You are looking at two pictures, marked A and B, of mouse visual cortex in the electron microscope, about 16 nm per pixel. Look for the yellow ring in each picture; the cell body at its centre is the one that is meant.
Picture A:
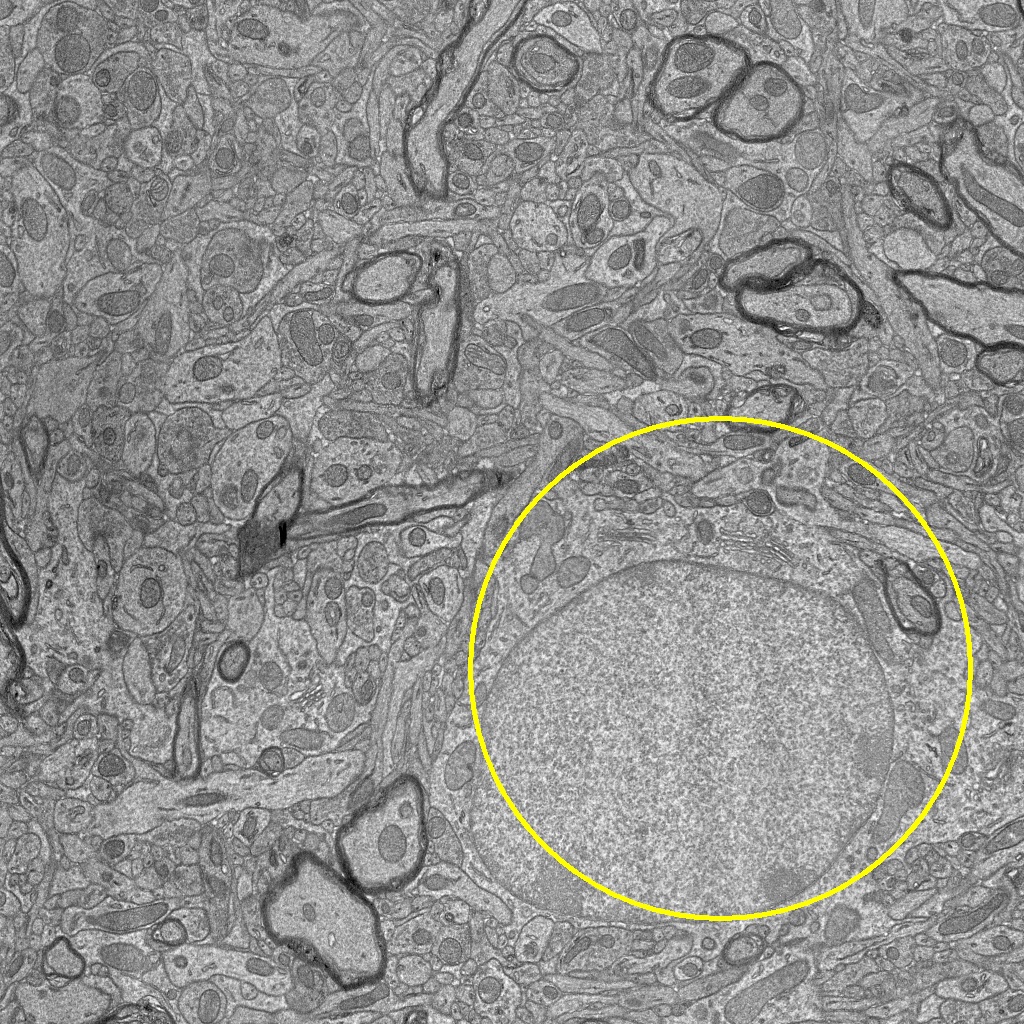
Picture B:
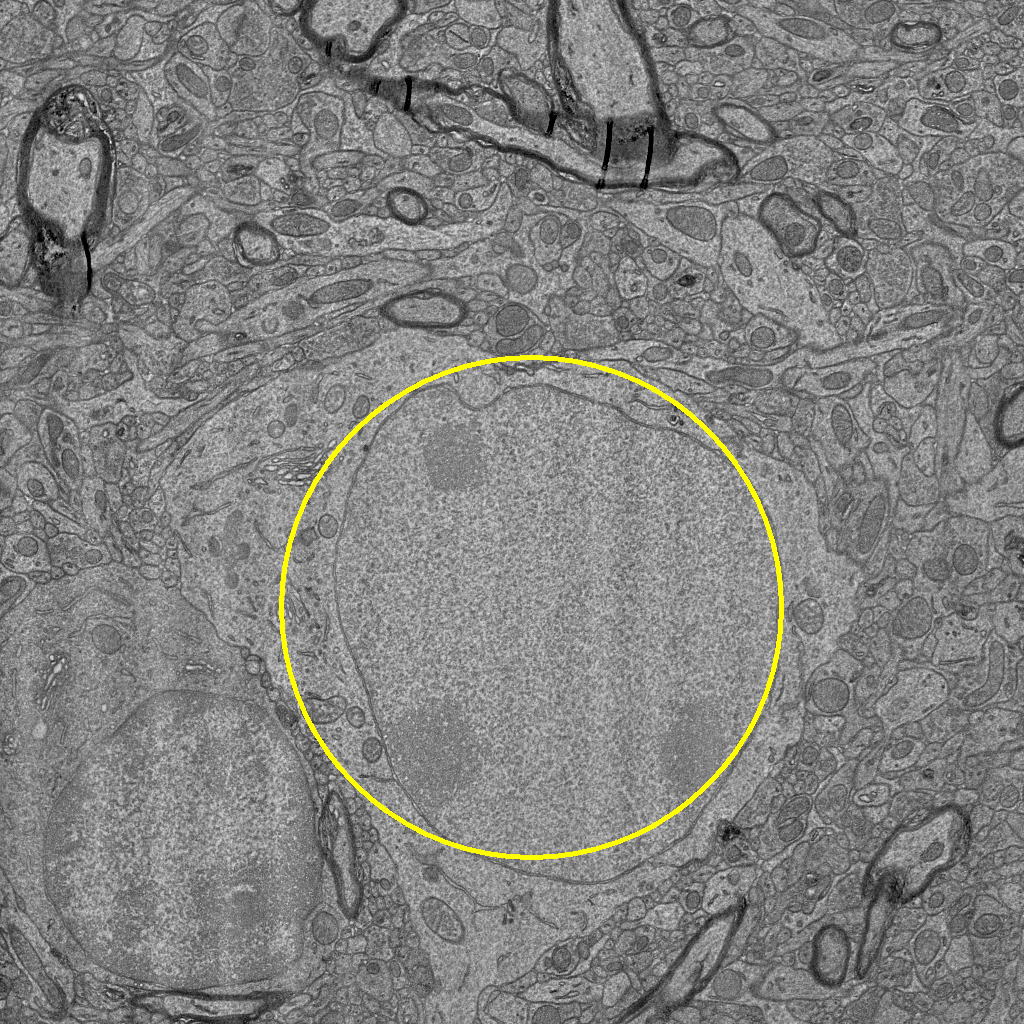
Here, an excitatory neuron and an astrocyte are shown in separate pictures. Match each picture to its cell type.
It is picture A that shows an astrocyte, and picture B that shows an excitatory neuron.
